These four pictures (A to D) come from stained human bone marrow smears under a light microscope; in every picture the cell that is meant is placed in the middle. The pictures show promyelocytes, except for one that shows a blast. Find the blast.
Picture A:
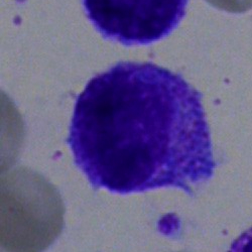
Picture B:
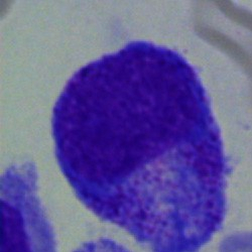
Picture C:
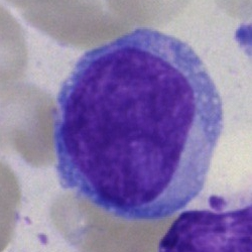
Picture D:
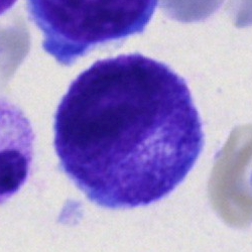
C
